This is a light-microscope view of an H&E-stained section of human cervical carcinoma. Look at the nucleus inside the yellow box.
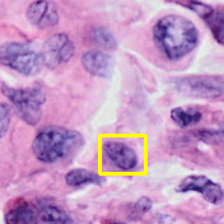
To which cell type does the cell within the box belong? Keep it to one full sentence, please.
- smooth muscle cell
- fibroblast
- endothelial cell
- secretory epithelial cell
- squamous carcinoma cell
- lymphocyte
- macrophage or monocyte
Typologically, the cell within the box is a macrophage or monocyte in this section.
